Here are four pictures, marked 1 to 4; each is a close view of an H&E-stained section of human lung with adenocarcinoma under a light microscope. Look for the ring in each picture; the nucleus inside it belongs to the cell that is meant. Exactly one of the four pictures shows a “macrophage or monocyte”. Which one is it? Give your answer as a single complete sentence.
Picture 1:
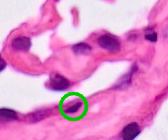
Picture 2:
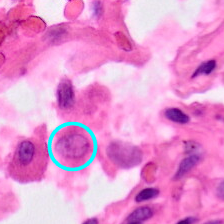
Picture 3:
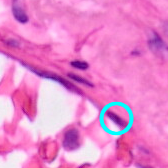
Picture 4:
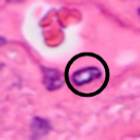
The picture with the “macrophage or monocyte” is 2.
